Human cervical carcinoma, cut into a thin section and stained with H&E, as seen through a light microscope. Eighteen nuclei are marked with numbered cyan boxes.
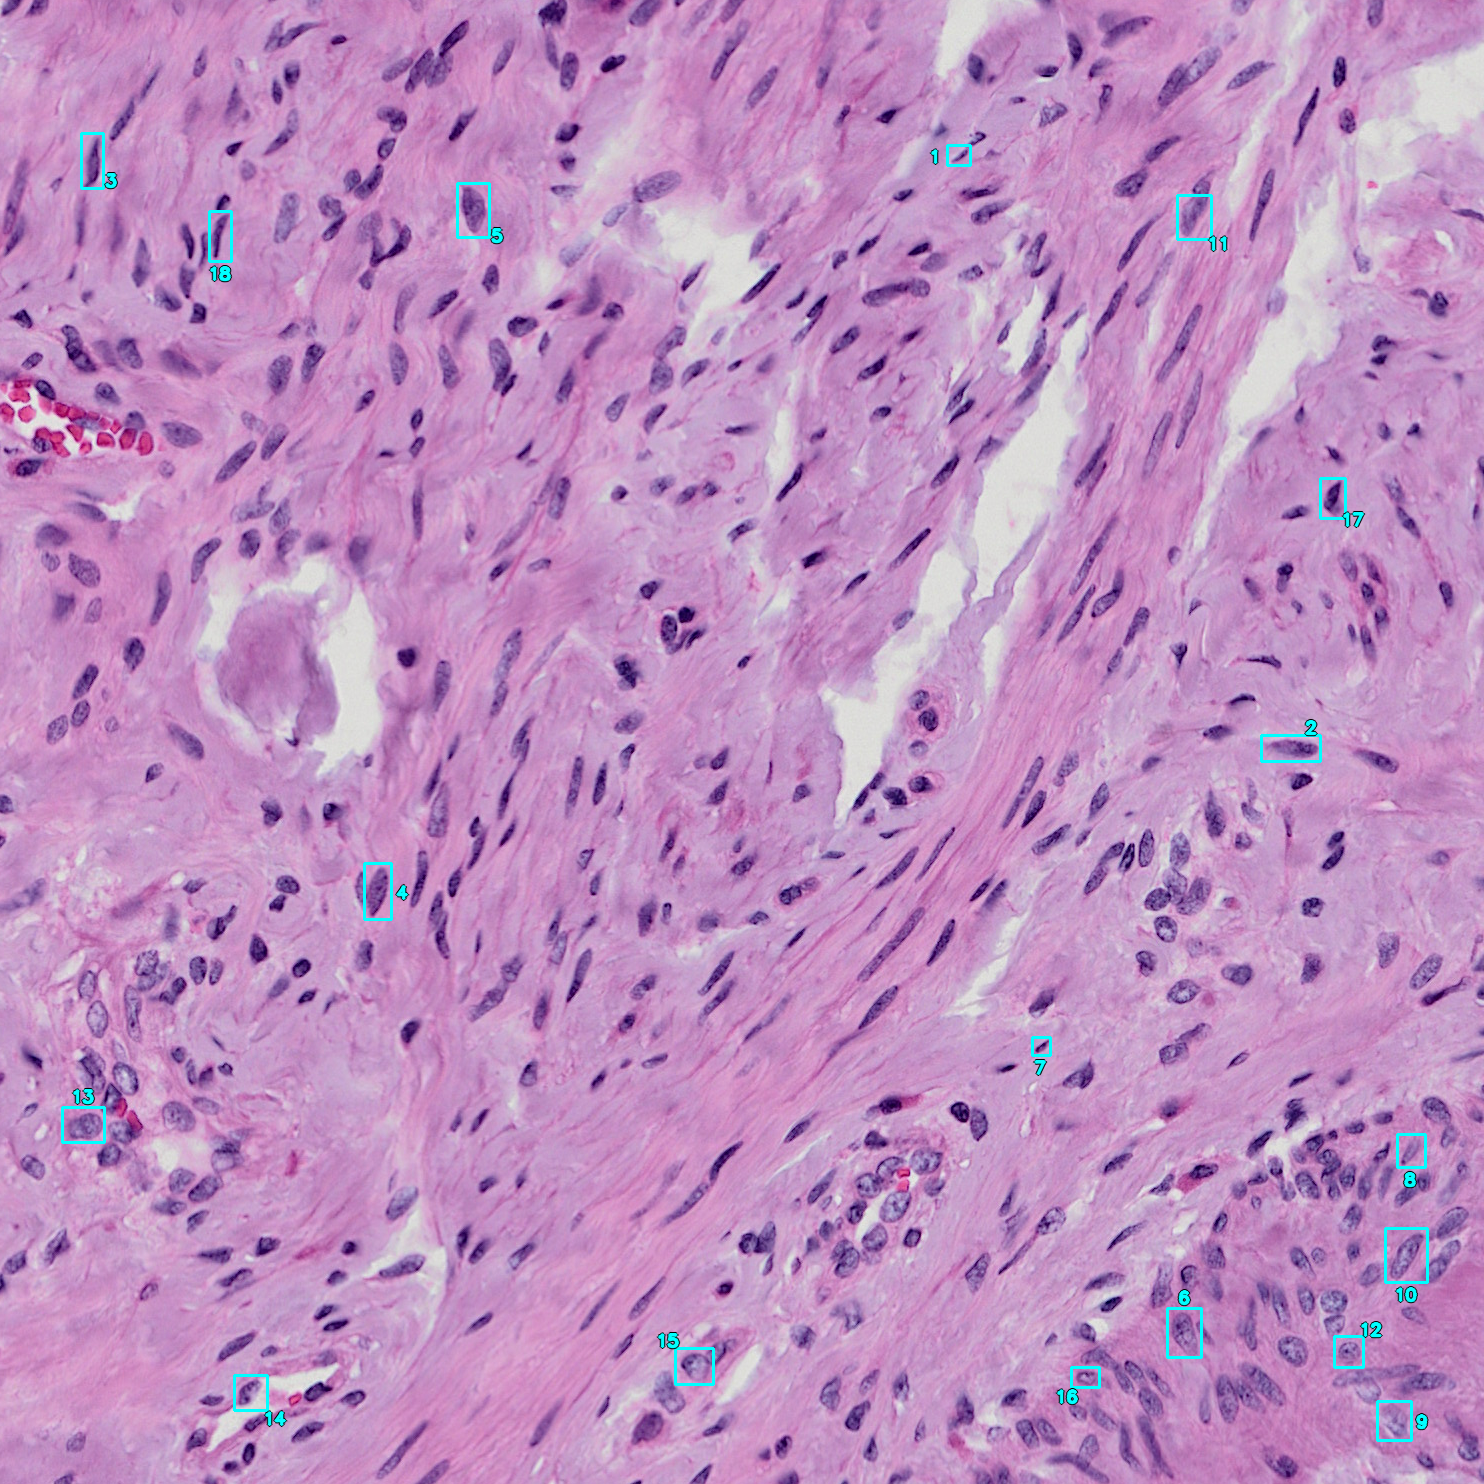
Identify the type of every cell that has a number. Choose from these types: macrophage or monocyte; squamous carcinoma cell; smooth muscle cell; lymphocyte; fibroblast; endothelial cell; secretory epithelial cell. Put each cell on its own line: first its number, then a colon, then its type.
1: fibroblast
2: fibroblast
3: fibroblast
4: fibroblast
5: fibroblast
6: smooth muscle cell
7: fibroblast
8: smooth muscle cell
9: smooth muscle cell
10: smooth muscle cell
11: fibroblast
12: smooth muscle cell
13: endothelial cell
14: endothelial cell
15: endothelial cell
16: smooth muscle cell
17: fibroblast
18: fibroblast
